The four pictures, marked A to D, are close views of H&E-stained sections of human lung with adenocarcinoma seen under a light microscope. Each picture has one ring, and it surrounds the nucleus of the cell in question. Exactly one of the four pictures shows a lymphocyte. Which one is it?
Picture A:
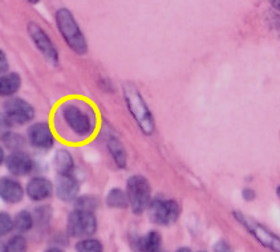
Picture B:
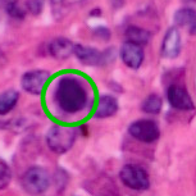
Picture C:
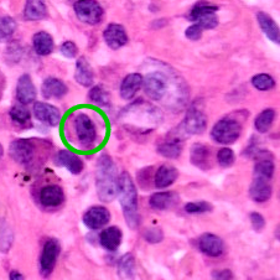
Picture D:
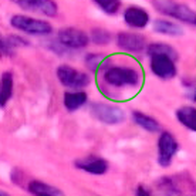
A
